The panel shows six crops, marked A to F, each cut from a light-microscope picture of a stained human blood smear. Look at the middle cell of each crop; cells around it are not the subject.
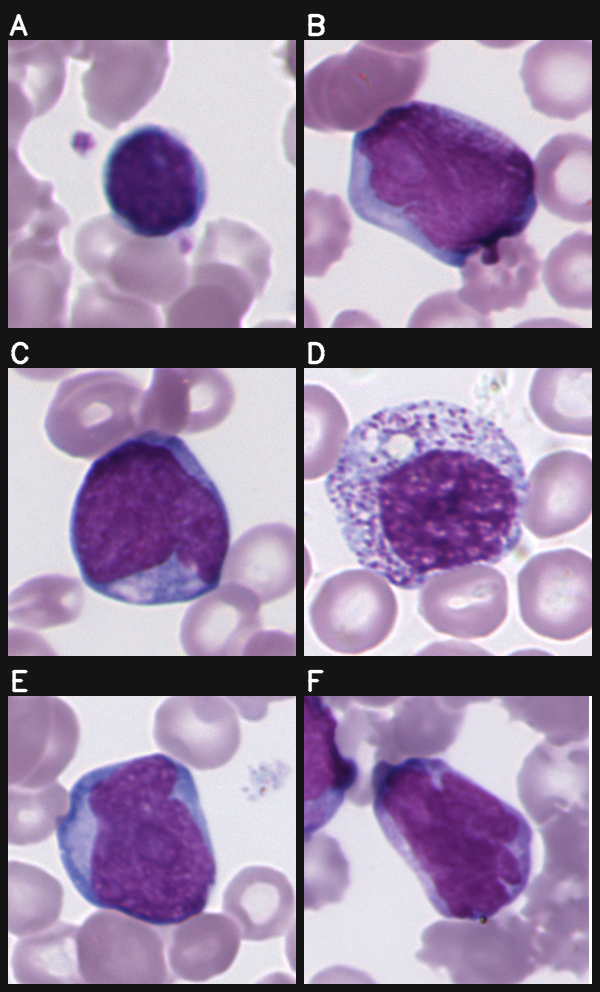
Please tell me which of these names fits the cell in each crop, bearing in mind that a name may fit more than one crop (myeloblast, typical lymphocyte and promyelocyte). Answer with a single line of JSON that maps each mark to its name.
{"A": "typical lymphocyte", "B": "myeloblast", "C": "myeloblast", "D": "promyelocyte", "E": "myeloblast", "F": "myeloblast"}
